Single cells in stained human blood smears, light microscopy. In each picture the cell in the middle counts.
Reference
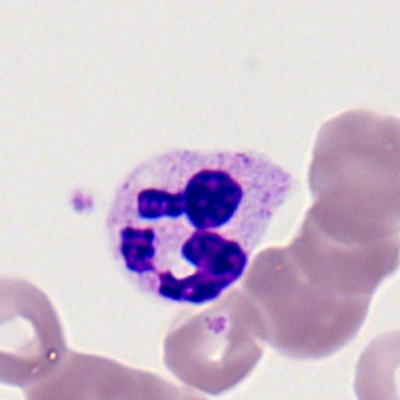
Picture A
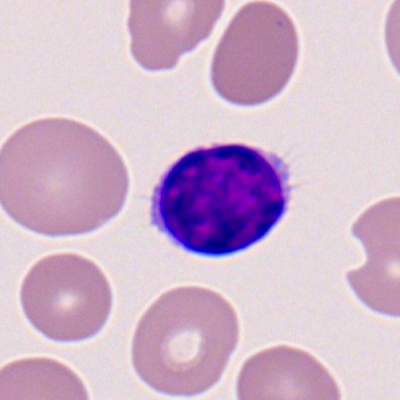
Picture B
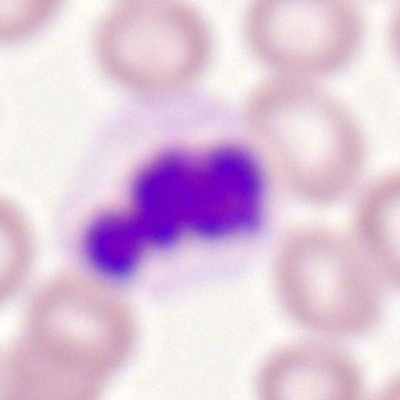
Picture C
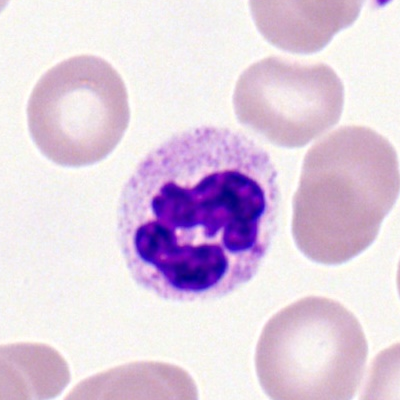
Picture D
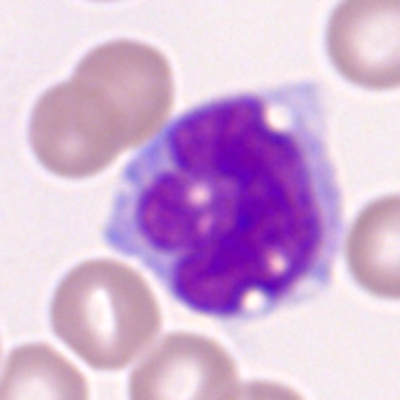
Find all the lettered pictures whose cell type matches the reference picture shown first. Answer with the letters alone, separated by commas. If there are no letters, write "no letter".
B, C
